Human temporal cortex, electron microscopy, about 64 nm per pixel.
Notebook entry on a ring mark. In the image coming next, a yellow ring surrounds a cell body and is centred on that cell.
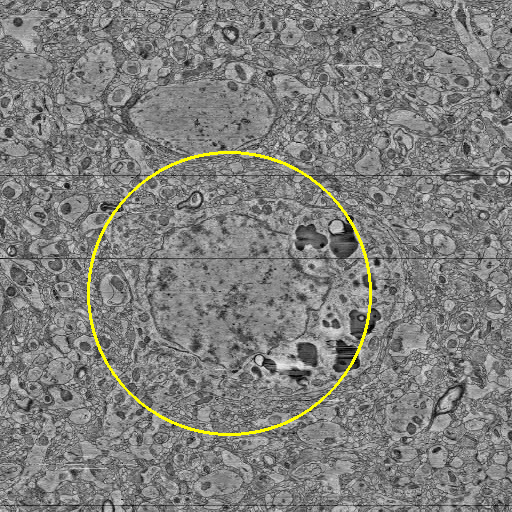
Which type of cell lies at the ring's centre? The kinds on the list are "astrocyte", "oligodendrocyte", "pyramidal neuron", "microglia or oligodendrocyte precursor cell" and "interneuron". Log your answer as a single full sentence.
Centred in the yellow ring is a microglial cell or oligodendrocyte precursor cell, the cell recorded for this image.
